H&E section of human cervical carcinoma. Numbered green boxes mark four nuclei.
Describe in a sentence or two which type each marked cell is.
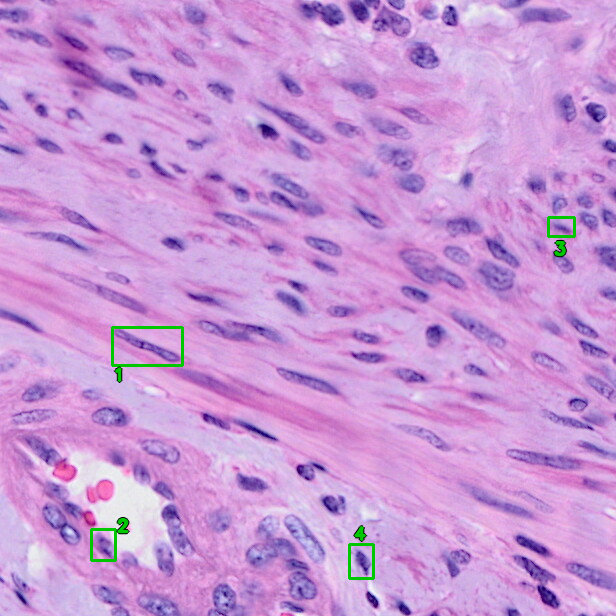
Cell 1 is a smooth muscle cell, cell 2 is an endothelial cell, cell 3 is a smooth muscle cell and cell 4 is a fibroblast.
